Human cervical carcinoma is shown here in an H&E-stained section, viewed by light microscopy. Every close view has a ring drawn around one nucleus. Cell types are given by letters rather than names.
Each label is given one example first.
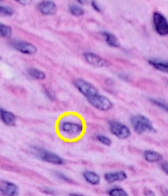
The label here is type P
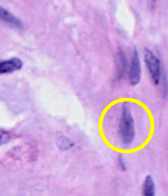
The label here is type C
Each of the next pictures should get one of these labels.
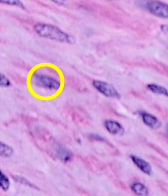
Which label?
type P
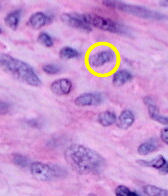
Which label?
type P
